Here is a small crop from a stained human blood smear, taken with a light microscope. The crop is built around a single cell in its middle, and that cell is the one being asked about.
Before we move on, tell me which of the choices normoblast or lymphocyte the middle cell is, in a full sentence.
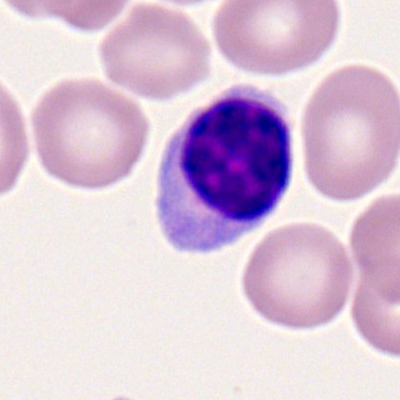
The cell occupying the middle of the crop is a normoblast.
